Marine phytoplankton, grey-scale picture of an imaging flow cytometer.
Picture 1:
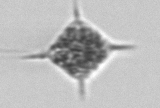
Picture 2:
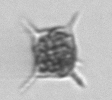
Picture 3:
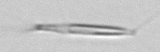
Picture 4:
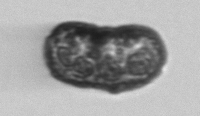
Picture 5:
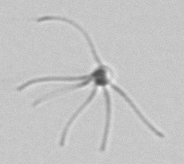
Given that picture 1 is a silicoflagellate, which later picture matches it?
2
